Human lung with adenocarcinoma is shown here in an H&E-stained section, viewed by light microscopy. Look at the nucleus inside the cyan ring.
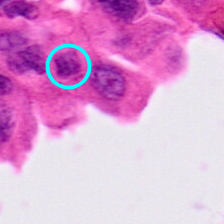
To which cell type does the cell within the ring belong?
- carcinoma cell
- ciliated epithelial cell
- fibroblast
carcinoma cell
